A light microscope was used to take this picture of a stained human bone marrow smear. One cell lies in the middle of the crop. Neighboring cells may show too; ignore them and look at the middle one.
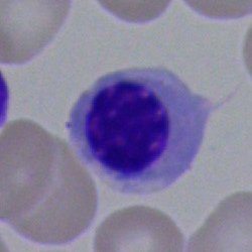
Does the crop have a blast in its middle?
no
